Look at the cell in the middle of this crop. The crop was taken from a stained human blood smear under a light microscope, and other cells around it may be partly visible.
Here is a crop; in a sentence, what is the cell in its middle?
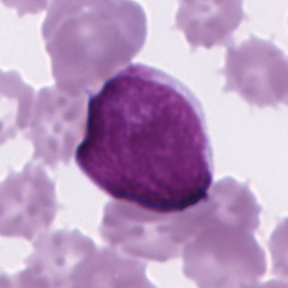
The cell featured at the centre of this crop is a blast.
